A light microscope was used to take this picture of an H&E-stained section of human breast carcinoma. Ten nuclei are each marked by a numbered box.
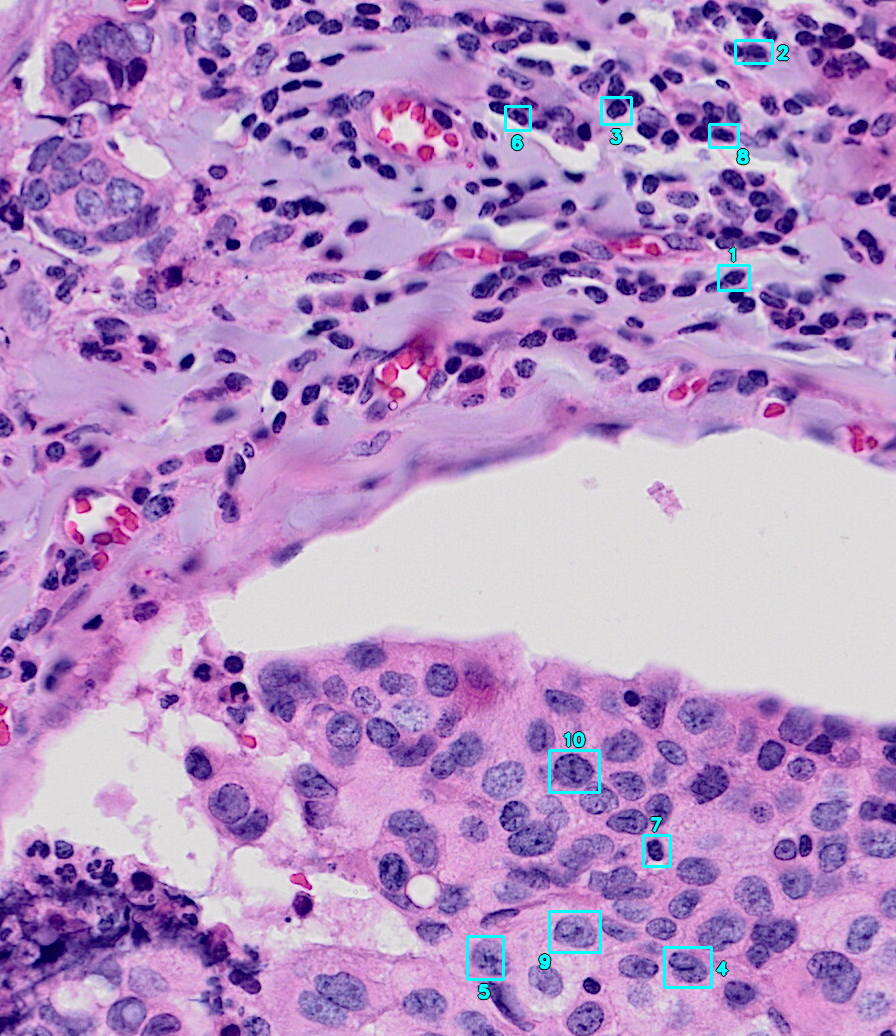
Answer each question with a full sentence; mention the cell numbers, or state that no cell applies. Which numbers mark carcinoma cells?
The cells tagged 4, 5, 9 and 10 are carcinoma cells in this tissue section.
